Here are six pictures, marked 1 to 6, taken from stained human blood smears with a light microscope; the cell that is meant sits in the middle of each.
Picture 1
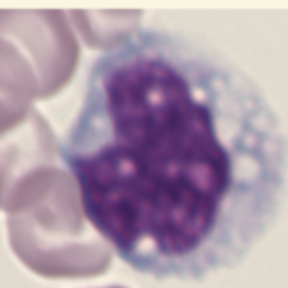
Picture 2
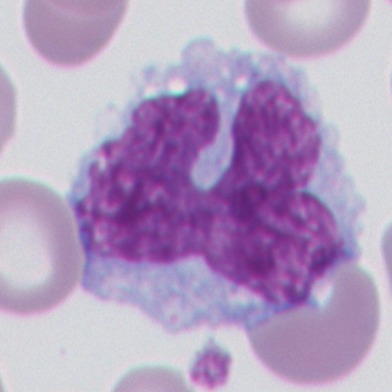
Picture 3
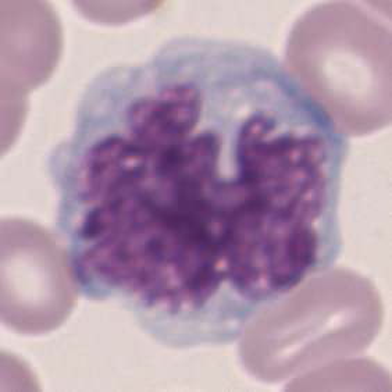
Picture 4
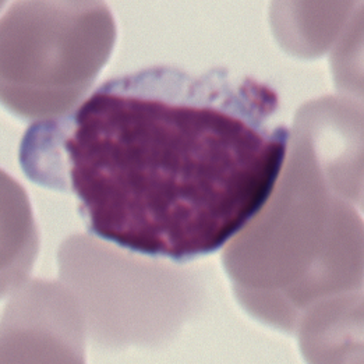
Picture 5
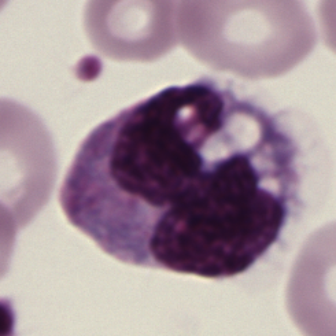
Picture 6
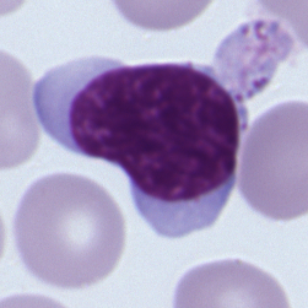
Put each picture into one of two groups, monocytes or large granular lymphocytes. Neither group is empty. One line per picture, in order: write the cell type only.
monocyte
monocyte
monocyte
large granular lymphocyte
monocyte
large granular lymphocyte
